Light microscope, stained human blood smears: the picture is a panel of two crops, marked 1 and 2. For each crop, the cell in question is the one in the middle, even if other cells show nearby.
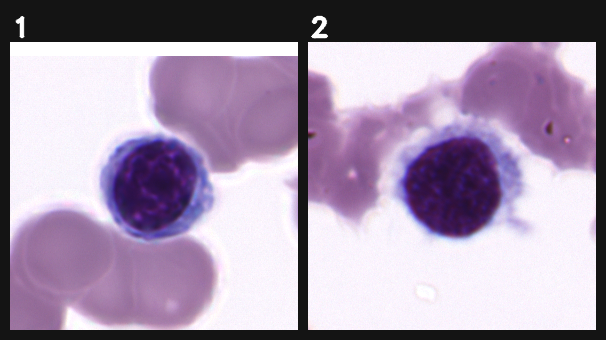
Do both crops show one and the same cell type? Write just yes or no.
no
